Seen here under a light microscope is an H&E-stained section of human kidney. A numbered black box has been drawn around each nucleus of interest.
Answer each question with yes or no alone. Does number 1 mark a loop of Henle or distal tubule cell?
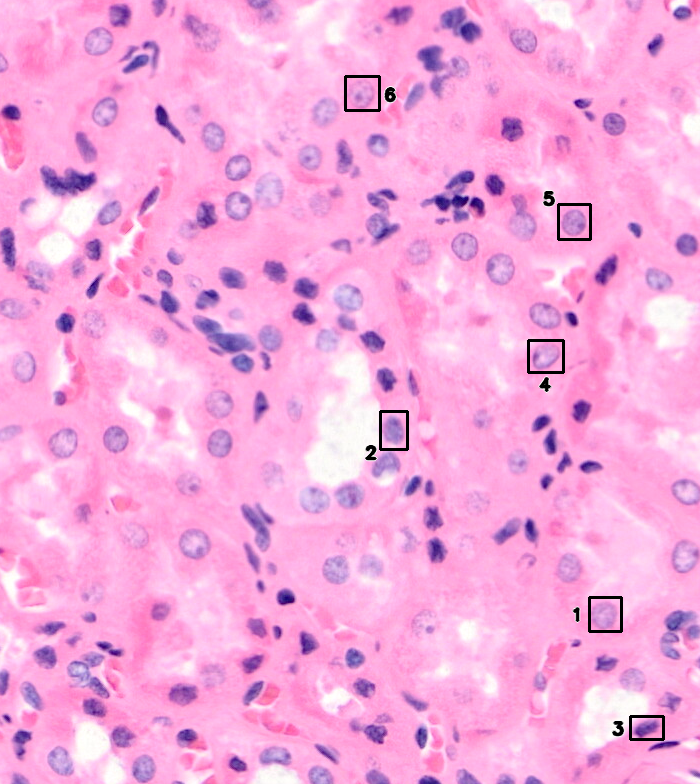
no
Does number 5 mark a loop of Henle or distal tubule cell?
no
